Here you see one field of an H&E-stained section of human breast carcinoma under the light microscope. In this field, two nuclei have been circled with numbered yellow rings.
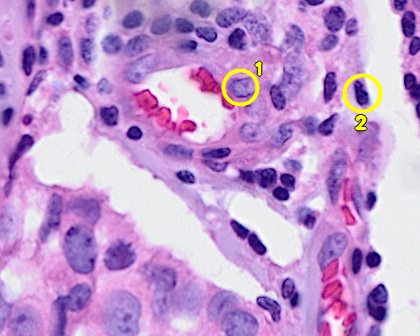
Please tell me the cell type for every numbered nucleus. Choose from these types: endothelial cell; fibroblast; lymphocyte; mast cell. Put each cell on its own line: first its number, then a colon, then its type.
1: endothelial cell
2: lymphocyte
